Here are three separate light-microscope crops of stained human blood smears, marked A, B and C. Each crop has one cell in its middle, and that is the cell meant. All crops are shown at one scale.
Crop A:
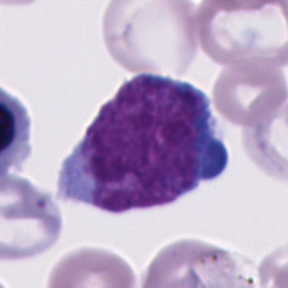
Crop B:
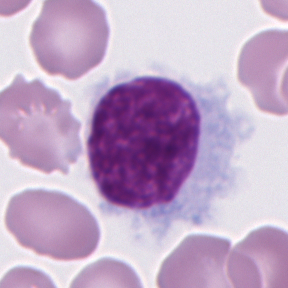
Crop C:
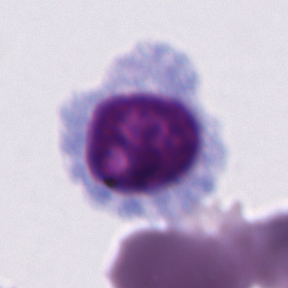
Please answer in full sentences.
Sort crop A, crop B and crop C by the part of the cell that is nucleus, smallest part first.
The least filled comes first: C, B, A.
